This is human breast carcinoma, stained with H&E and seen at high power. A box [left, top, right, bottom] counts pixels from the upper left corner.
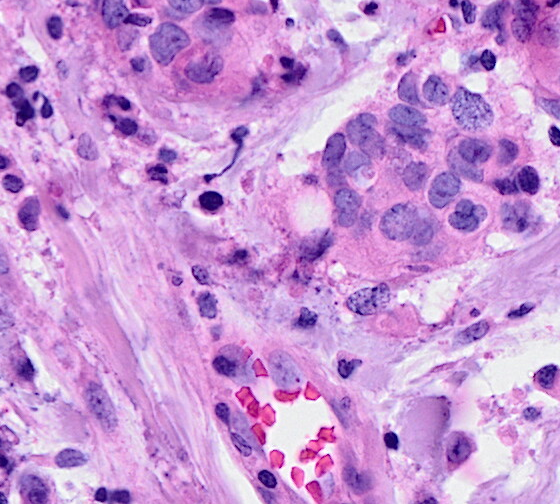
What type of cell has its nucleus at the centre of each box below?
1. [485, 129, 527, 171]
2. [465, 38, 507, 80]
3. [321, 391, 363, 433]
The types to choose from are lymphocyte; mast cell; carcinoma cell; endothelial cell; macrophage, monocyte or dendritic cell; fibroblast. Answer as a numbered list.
1. carcinoma cell
2. lymphocyte
3. endothelial cell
